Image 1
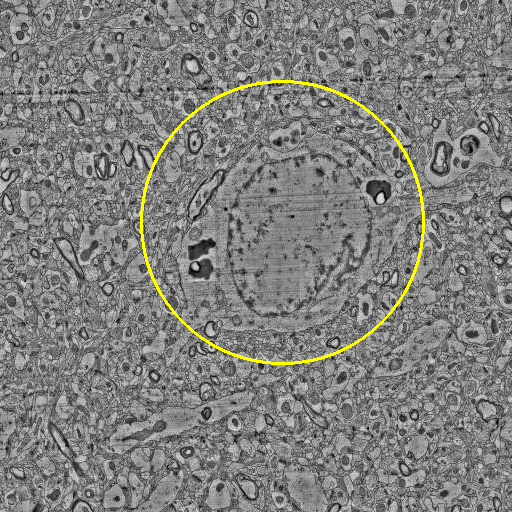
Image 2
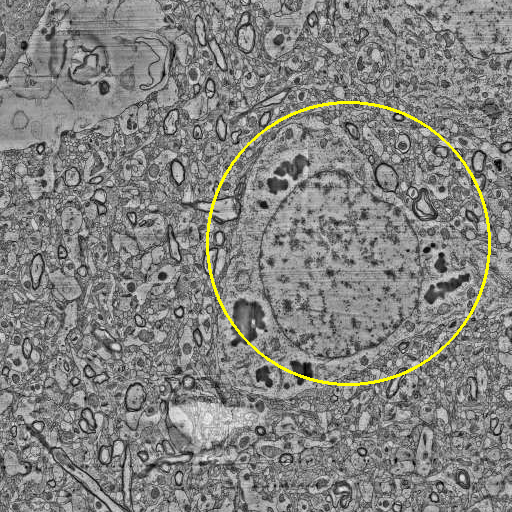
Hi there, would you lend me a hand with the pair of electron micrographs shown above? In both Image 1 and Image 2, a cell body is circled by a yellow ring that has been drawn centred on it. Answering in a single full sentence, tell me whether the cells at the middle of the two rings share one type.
Yes, the ringed cells in Image 1 and Image 2 share one type.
